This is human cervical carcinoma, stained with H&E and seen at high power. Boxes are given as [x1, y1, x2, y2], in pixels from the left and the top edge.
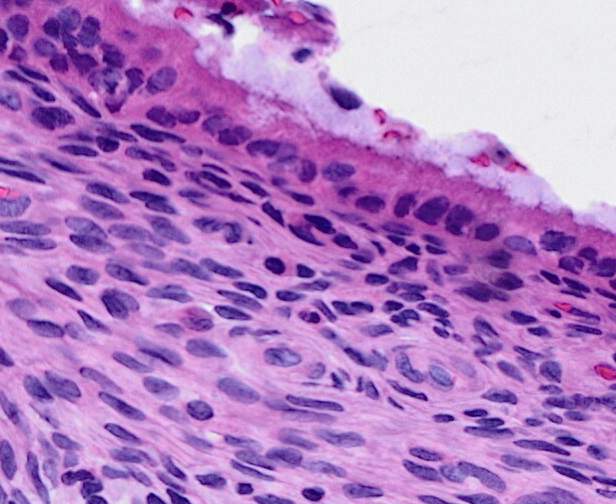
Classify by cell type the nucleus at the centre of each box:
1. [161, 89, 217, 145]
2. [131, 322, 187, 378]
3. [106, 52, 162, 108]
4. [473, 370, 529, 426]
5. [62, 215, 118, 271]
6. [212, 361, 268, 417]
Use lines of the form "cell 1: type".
cell 1: secretory epithelial cell
cell 2: fibroblast
cell 3: secretory epithelial cell
cell 4: fibroblast
cell 5: fibroblast
cell 6: fibroblast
